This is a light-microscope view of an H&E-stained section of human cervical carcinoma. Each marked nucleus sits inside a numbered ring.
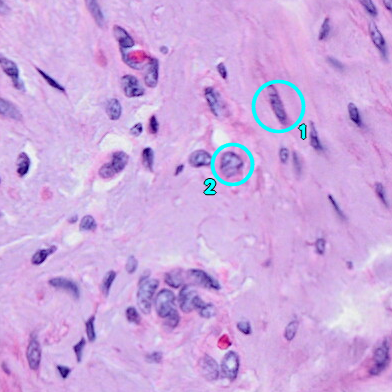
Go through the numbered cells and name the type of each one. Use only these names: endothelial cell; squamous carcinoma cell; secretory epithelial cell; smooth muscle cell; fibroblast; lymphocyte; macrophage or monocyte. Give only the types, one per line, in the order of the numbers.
smooth muscle cell
endothelial cell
